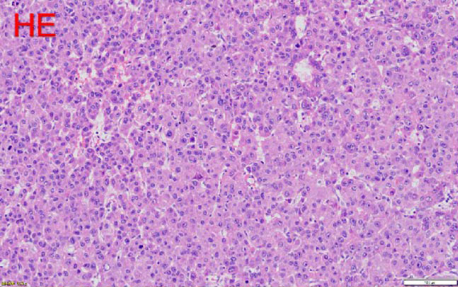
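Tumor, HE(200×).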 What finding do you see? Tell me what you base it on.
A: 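Similar to hepatocellular carcinoma. Sheets of polygonal cells with pink cytoplasm. Round central nuclei. Thin vascular spaces between cell plates.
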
